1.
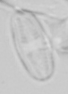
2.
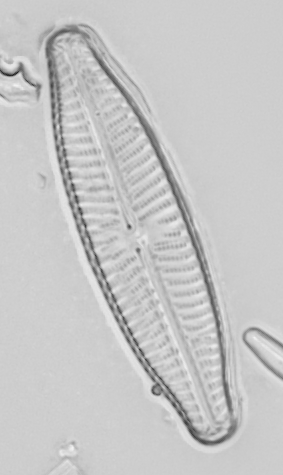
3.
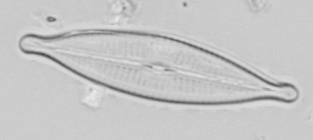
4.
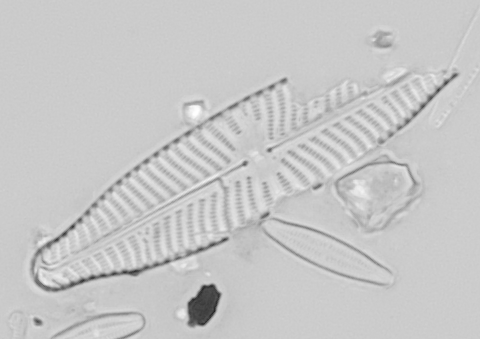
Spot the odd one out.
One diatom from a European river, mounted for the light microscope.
Picture 1 (Sellaphora among Navicula).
